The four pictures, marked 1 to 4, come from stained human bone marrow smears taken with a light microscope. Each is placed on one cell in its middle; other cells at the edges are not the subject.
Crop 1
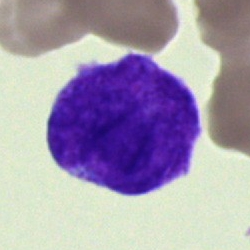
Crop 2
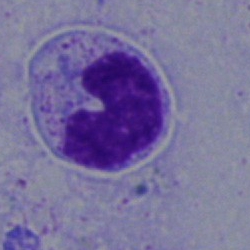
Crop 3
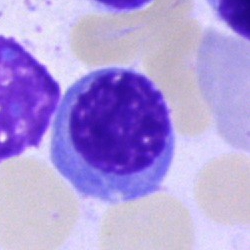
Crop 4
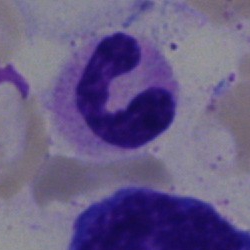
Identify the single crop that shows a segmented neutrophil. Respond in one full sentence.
The crop bearing a segmented neutrophil is crop 4.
